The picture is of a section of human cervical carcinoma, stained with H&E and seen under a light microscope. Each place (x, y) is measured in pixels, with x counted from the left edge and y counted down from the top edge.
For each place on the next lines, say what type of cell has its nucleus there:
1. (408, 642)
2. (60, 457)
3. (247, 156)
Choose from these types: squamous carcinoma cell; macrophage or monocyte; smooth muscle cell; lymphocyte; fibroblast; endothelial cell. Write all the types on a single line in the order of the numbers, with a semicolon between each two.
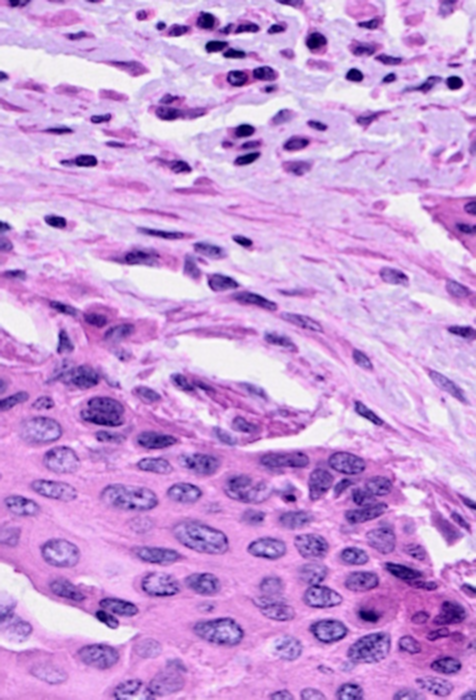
squamous carcinoma cell; squamous carcinoma cell; lymphocyte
